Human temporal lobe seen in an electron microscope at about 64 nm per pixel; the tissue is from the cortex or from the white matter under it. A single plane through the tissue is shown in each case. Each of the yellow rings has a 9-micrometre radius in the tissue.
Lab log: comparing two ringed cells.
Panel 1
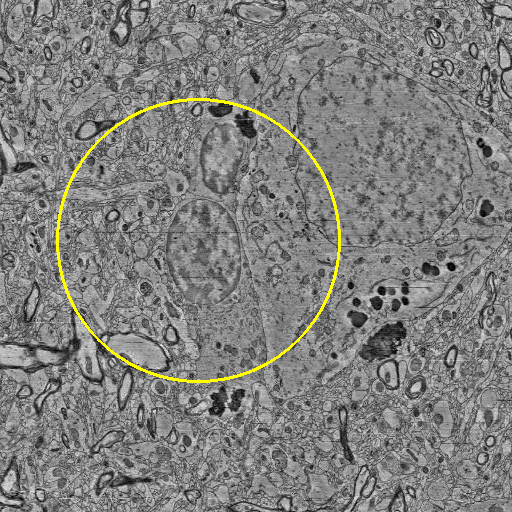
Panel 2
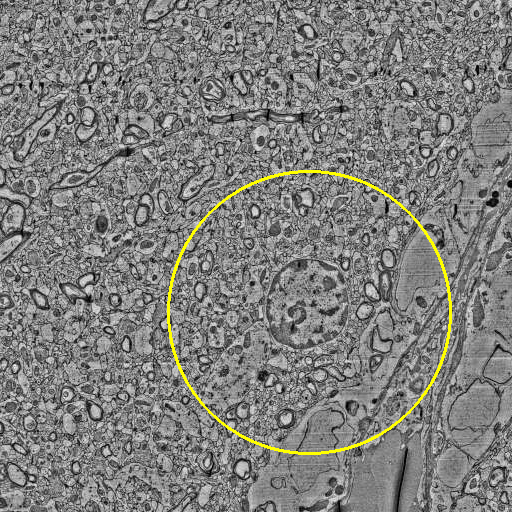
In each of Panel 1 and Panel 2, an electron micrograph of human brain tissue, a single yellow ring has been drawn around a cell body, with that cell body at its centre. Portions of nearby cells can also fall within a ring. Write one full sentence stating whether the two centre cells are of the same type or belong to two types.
The cells at the ring centres in Panel 1 and Panel 2 belong to two types.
